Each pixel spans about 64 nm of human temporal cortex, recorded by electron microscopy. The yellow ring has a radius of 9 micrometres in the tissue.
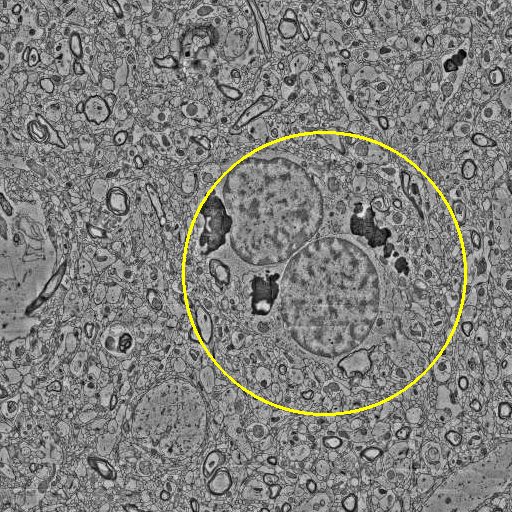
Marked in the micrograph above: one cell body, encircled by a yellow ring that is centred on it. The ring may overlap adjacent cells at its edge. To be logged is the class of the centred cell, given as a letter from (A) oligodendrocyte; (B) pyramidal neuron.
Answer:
A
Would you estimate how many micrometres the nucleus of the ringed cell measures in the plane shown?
In this plane, the nucleus measures approximately 7 micrometres across.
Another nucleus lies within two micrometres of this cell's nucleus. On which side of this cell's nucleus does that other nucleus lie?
The other nucleus is located to the upper left of it.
